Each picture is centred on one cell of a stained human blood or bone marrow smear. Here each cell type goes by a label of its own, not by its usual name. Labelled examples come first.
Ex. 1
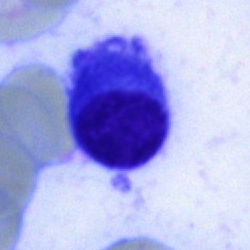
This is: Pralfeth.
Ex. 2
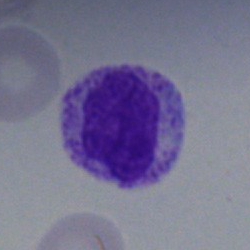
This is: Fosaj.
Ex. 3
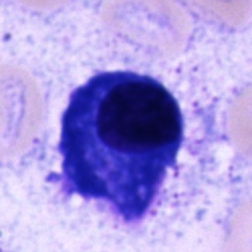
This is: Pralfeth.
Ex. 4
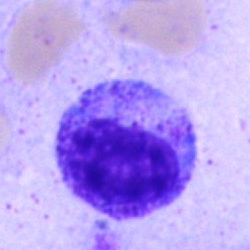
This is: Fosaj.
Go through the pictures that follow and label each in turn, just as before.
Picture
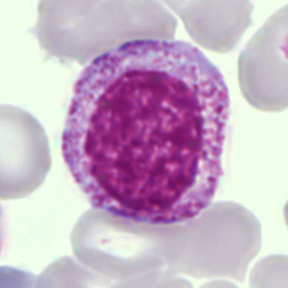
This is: Fosaj.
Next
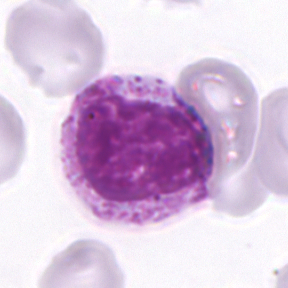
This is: Fosaj.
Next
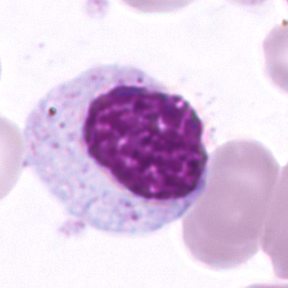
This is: Fosaj.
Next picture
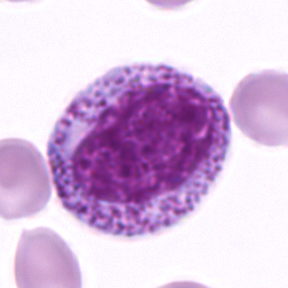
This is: Fosaj.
